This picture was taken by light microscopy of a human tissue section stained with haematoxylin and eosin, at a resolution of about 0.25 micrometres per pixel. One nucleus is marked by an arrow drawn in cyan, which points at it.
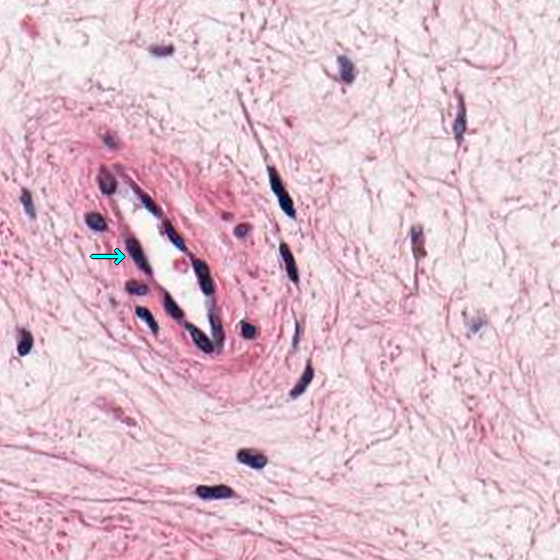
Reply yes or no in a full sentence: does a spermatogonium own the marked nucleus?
No, what carries the marked nucleus is a supporting cell rather than a spermatogonium.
